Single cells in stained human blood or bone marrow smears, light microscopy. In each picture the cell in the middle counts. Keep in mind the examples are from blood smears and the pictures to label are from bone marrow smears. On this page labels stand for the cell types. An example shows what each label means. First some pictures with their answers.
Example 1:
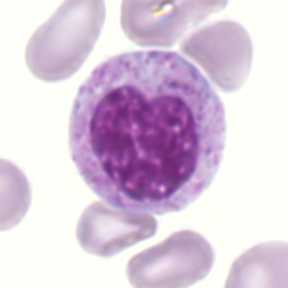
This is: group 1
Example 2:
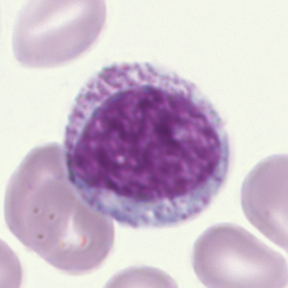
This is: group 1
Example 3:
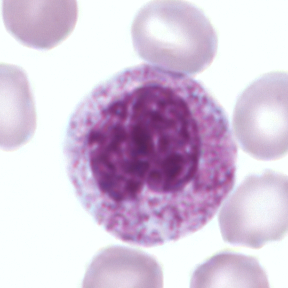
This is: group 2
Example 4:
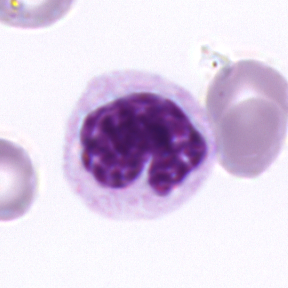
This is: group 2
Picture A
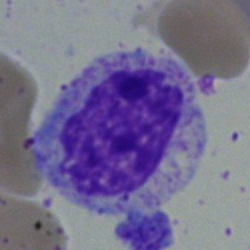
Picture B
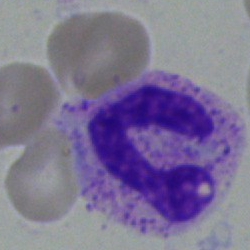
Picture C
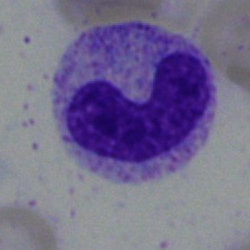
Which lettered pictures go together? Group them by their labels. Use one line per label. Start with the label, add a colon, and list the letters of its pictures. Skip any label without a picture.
group 1: A
group 2: B, C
